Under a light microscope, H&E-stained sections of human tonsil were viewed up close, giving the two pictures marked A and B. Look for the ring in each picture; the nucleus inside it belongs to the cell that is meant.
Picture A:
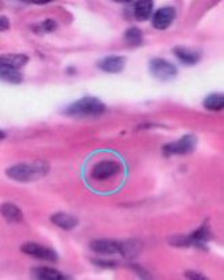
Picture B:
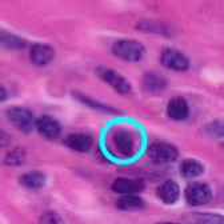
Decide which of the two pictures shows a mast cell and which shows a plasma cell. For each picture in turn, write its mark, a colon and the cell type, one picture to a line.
A: mast cell
B: plasma cell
